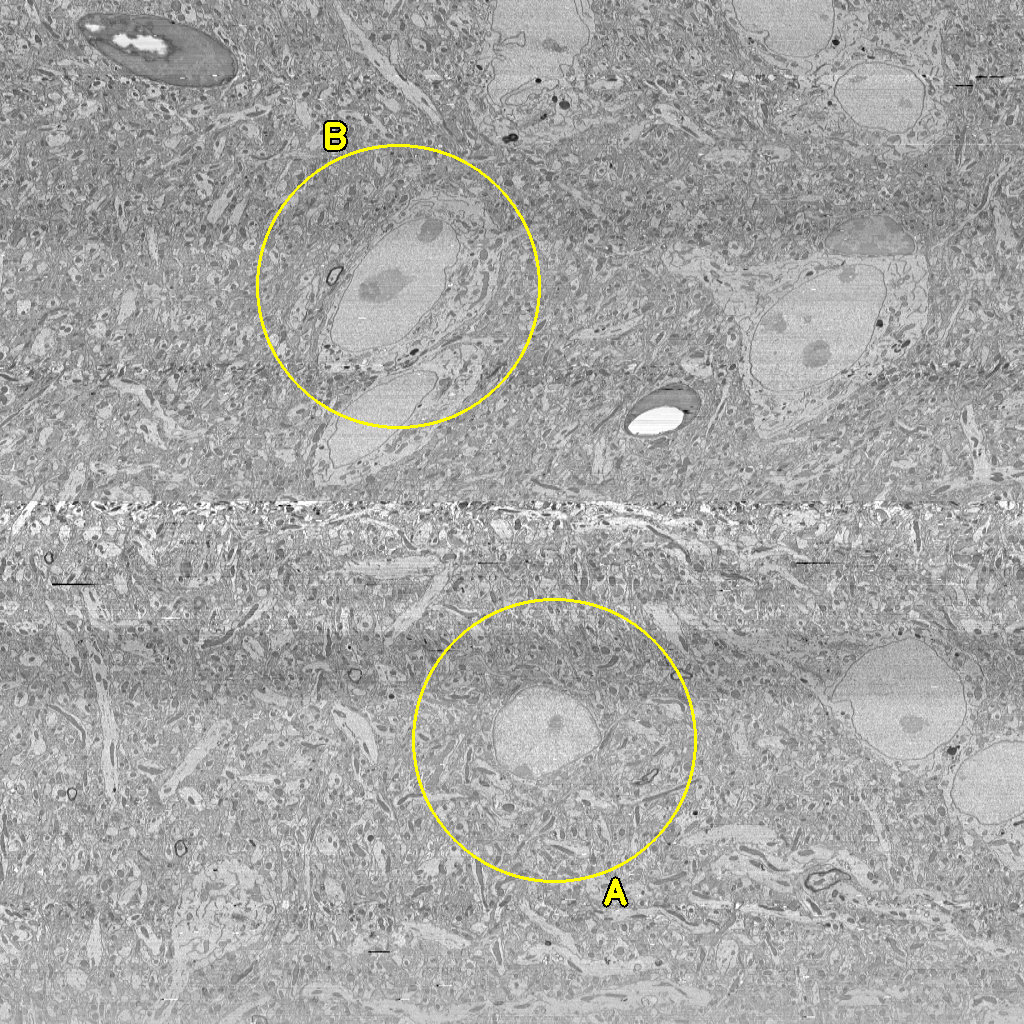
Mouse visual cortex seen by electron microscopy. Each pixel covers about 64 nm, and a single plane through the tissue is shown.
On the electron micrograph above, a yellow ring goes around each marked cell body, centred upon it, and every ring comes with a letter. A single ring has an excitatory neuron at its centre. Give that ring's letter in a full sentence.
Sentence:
The ring holding the cell asked for at its centre bears the letter B.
